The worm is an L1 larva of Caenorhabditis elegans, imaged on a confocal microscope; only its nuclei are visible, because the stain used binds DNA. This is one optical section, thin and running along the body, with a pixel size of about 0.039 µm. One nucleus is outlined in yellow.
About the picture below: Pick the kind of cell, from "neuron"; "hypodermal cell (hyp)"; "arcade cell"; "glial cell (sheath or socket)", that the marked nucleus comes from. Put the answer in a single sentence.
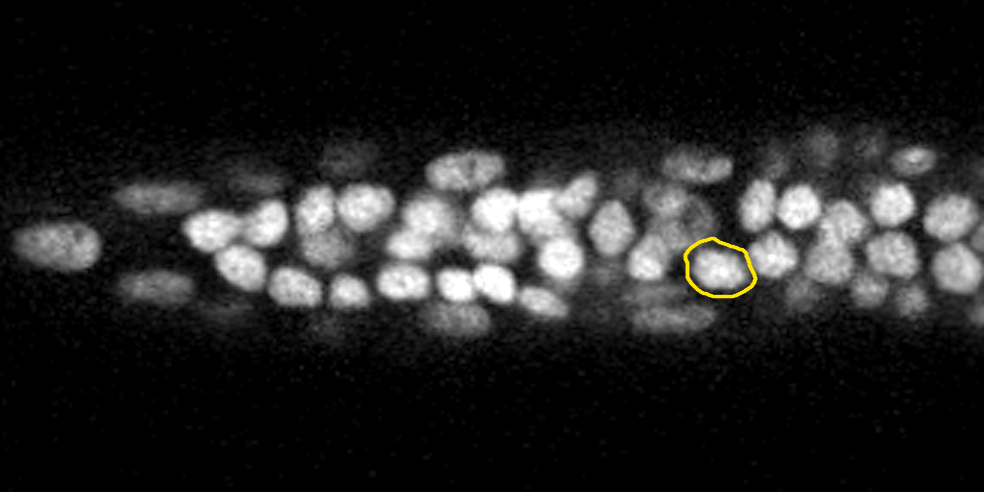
What is marked is the nucleus of a neuron.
